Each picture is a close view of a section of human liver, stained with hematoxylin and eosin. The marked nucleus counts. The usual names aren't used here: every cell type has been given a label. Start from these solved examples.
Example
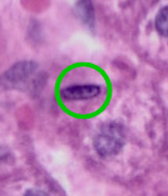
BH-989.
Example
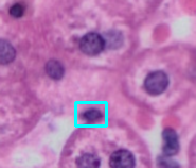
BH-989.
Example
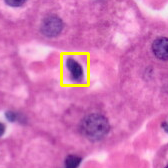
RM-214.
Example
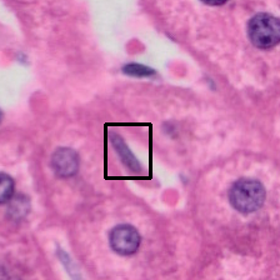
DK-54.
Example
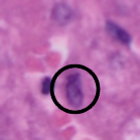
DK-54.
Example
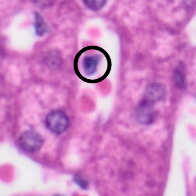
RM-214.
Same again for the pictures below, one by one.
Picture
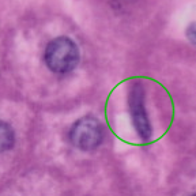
DK-54.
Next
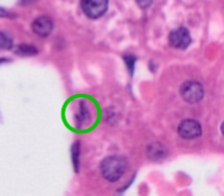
BH-989.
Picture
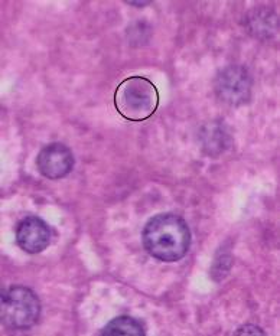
DK-54.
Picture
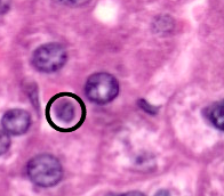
DK-54.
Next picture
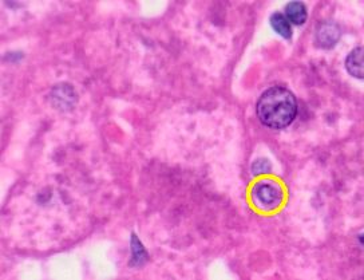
DK-54.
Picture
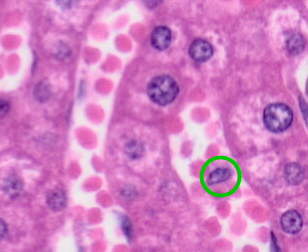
DK-54.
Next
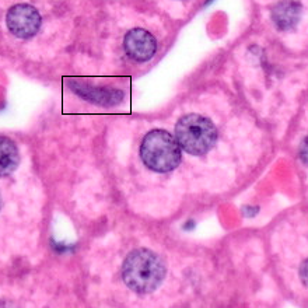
DK-54.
